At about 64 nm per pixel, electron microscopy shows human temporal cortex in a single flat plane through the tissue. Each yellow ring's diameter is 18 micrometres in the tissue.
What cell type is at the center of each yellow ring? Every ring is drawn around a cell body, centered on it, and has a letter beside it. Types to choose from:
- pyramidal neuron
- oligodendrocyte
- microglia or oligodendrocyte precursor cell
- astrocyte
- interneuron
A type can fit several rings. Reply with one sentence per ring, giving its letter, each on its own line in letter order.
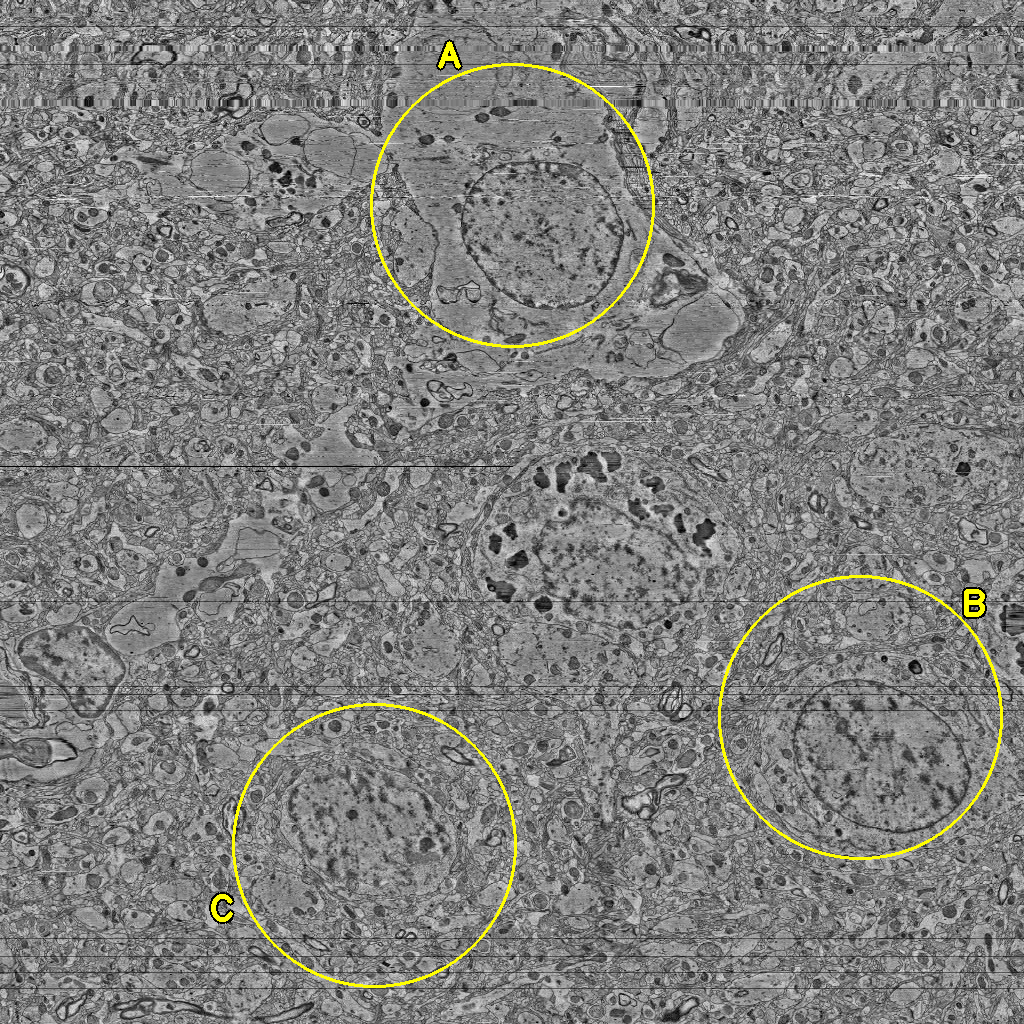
Ring A is placed around an astrocyte.
Ring B is placed around a pyramidal neuron.
Ring C is placed around an interneuron.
